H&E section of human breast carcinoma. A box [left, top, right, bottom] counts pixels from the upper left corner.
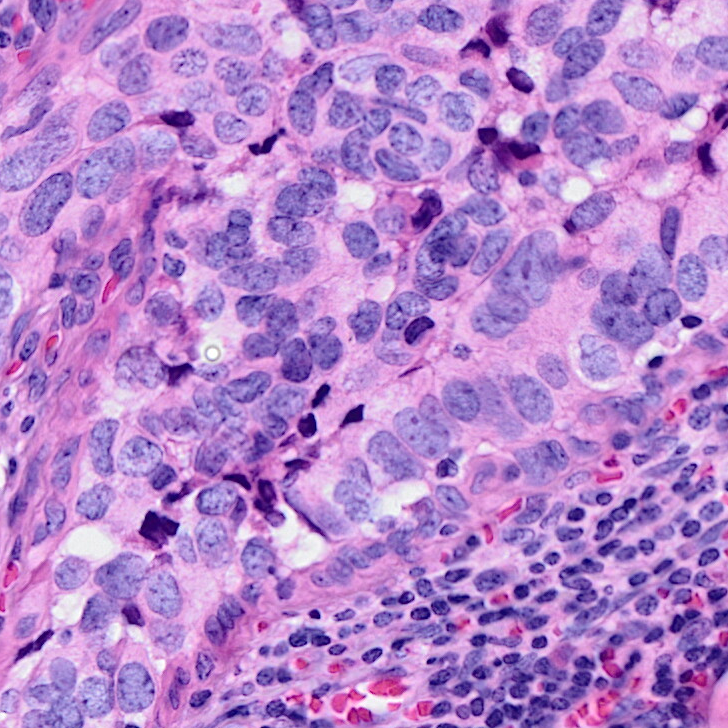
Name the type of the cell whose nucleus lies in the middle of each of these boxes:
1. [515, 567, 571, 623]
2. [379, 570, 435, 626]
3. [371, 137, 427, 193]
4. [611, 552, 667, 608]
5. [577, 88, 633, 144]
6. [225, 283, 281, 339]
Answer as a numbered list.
1. lymphocyte
2. lymphocyte
3. carcinoma cell
4. lymphocyte
5. carcinoma cell
6. carcinoma cell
